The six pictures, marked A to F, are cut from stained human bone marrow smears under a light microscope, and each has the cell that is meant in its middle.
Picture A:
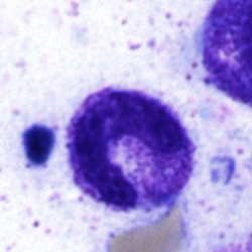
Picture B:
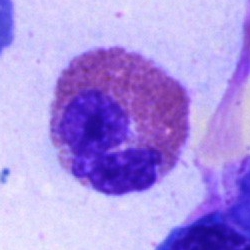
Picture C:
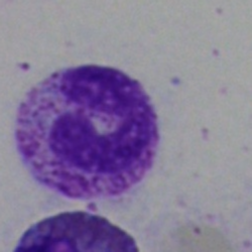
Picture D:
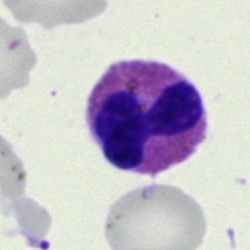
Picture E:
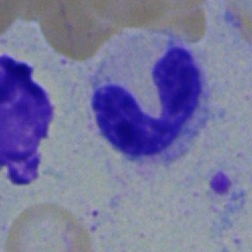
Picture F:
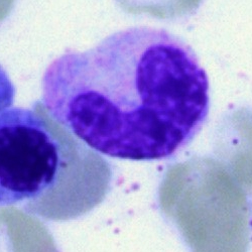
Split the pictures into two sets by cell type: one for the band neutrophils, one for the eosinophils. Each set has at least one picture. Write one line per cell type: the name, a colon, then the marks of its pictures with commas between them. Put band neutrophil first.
band neutrophil: A, C, E, F
eosinophil: B, D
